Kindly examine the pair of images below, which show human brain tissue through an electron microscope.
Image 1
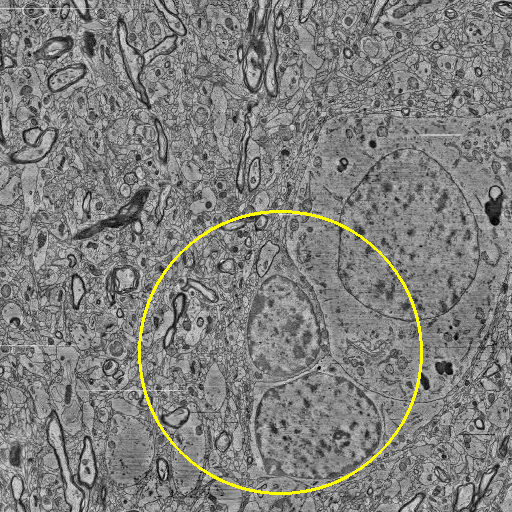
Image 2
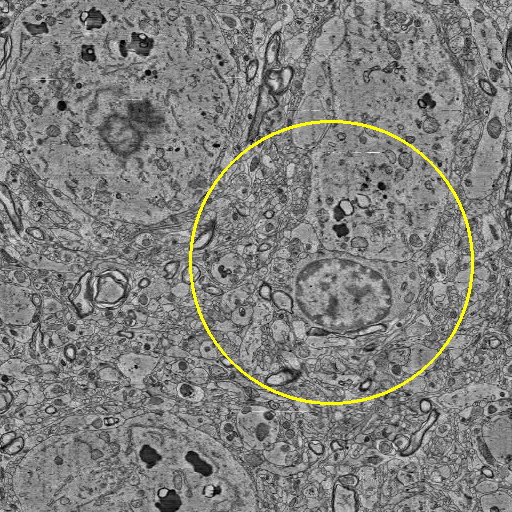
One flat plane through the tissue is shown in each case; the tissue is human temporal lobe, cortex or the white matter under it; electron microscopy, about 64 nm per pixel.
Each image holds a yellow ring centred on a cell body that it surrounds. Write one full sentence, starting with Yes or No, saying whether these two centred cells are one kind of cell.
Yes, both cells at the centres of the yellow rings belong to one kind of cell.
